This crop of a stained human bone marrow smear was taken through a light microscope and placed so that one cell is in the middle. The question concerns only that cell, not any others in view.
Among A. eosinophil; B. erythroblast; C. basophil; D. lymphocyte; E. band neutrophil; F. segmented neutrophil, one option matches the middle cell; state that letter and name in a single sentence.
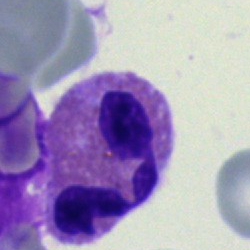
Since the cell in the middle is an eosinophil, option A is correct.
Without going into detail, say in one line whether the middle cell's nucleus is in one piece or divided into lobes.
The nuclear outline breaks up into two or more lobes.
